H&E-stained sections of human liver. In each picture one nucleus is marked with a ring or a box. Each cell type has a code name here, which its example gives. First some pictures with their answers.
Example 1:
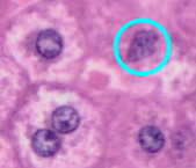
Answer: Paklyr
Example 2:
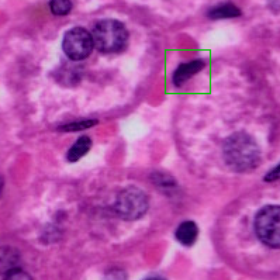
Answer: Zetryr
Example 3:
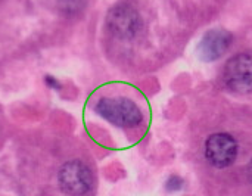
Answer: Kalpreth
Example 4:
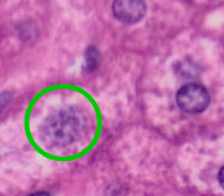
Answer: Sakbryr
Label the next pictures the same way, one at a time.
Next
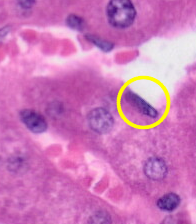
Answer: Zetryr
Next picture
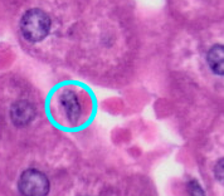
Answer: Kalpreth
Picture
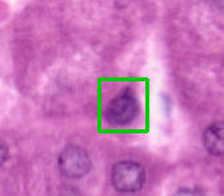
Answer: Kalpreth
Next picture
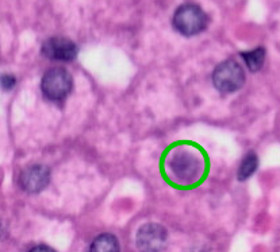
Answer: Sakbryr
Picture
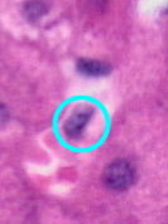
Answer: Kalpreth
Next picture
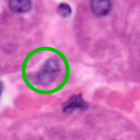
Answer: Kalpreth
